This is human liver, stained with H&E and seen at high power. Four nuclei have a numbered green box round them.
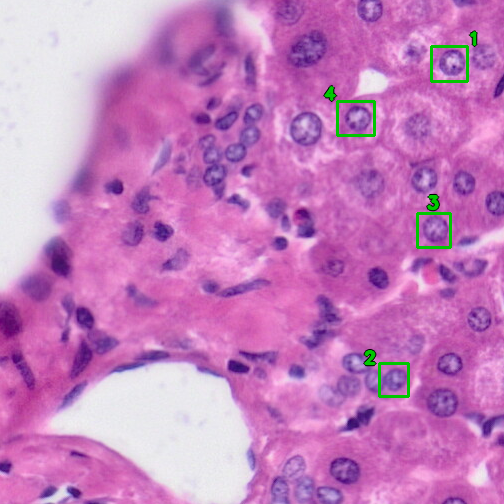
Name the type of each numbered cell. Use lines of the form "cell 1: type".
cell 1: hepatocyte
cell 2: cholangiocyte
cell 3: hepatocyte
cell 4: hepatocyte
